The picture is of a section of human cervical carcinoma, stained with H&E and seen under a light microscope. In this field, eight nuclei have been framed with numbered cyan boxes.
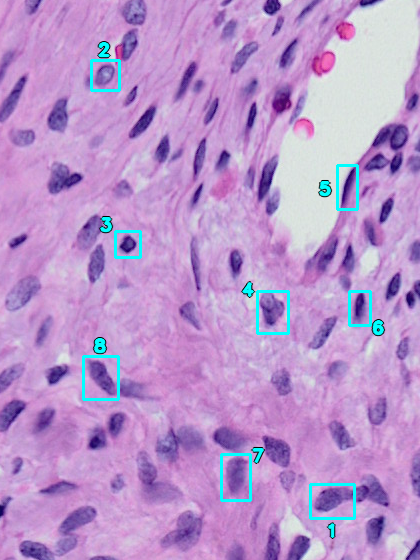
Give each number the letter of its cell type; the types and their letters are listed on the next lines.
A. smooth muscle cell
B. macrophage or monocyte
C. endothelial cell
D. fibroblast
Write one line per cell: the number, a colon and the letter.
1: D
2: C
3: D
4: B
5: C
6: D
7: D
8: D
